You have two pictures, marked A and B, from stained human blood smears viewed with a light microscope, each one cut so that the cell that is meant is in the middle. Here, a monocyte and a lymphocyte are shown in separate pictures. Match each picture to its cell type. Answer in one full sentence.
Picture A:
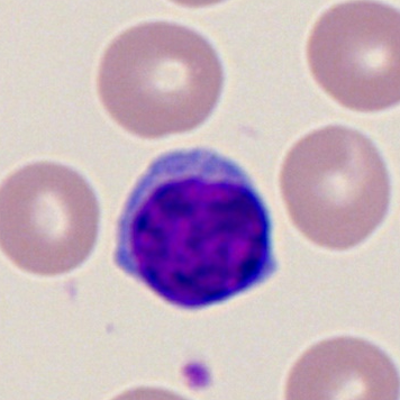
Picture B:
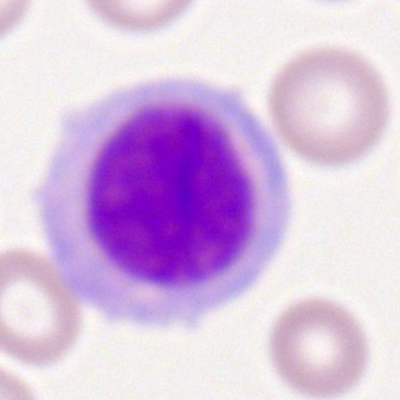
The cell in picture A is a lymphocyte, and the one in picture B is a monocyte.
